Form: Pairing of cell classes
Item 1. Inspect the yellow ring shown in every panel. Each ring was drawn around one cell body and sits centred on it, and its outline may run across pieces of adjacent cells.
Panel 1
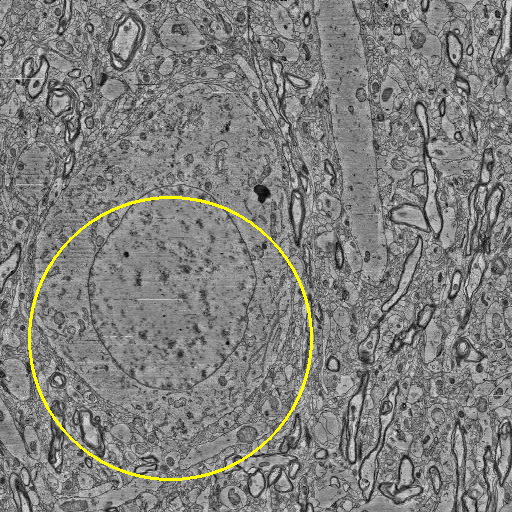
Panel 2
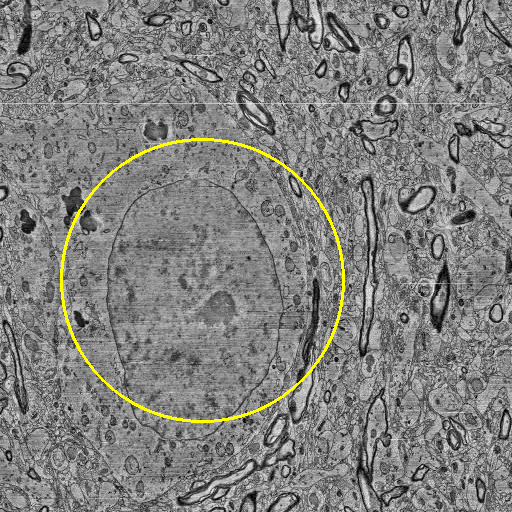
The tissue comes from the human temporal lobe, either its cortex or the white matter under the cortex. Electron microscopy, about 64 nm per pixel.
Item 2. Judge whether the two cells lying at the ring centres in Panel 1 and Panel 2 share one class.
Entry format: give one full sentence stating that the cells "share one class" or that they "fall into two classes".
The cells at the ring centres in Panel 1 and Panel 2 share one class.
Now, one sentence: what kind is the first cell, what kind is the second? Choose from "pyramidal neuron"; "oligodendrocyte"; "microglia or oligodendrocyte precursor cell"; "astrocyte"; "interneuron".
Each cell, in the first picture and the second, is a pyramidal neuron.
